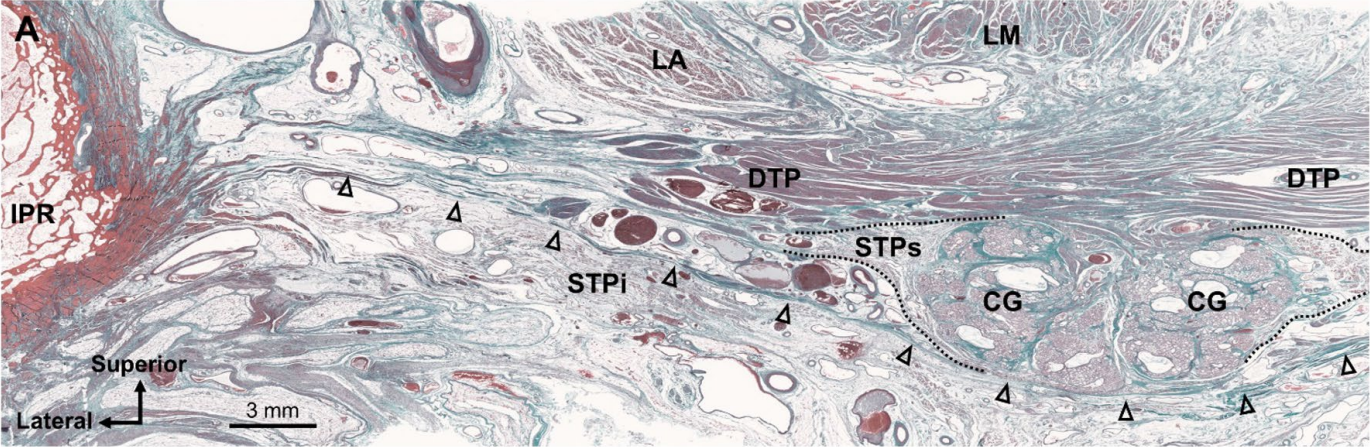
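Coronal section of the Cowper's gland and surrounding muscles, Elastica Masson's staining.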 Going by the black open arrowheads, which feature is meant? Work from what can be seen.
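The arrowheads line up along a thin continuous band of green-stained fibrous tissue running across the section. The band passes just below the lobulated gland.
Conclusion: perineal membrane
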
